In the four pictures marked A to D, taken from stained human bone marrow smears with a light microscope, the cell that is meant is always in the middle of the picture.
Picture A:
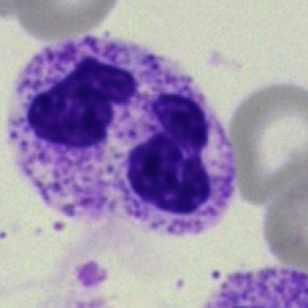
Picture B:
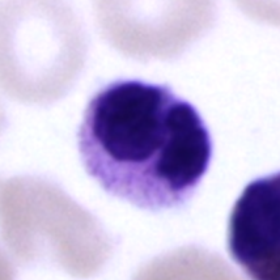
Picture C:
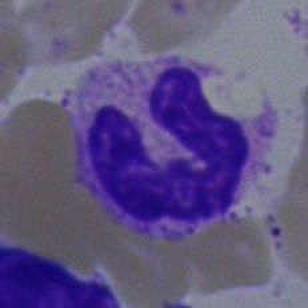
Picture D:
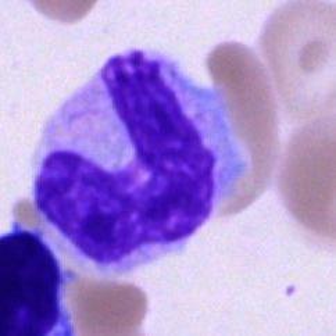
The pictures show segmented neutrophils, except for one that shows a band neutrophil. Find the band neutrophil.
D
